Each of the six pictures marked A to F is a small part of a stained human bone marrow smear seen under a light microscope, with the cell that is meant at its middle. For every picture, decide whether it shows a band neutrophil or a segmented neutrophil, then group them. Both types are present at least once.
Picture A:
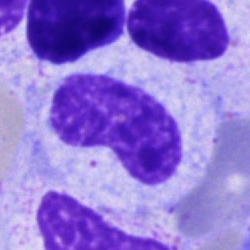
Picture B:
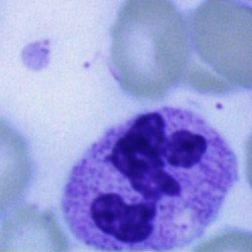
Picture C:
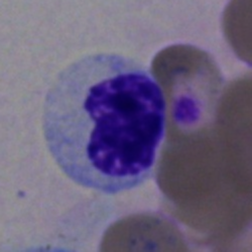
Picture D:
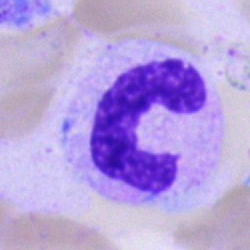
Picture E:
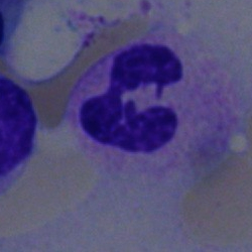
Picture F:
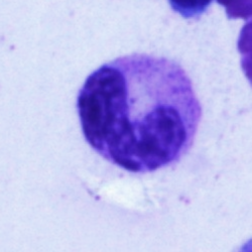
A: band neutrophil
B: segmented neutrophil
C: band neutrophil
D: band neutrophil
E: segmented neutrophil
F: band neutrophil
